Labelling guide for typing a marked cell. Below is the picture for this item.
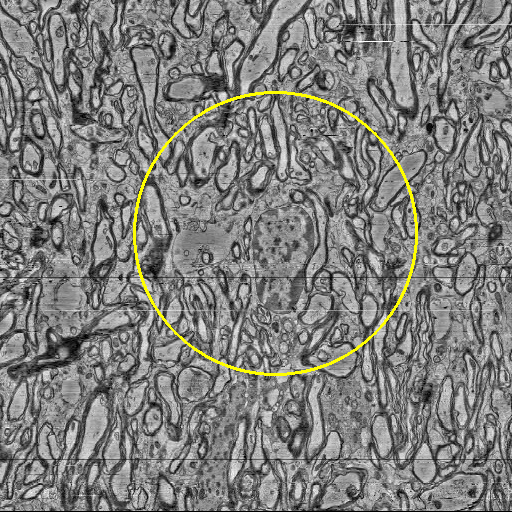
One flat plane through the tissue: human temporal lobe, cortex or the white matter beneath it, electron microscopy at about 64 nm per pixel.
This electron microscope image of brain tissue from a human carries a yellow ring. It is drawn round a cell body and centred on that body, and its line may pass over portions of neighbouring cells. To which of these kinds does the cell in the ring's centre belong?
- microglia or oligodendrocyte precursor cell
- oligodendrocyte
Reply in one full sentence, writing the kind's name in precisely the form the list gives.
Here we have a microglial cell or oligodendrocyte precursor cell at the centre of the yellow ring in the picture.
